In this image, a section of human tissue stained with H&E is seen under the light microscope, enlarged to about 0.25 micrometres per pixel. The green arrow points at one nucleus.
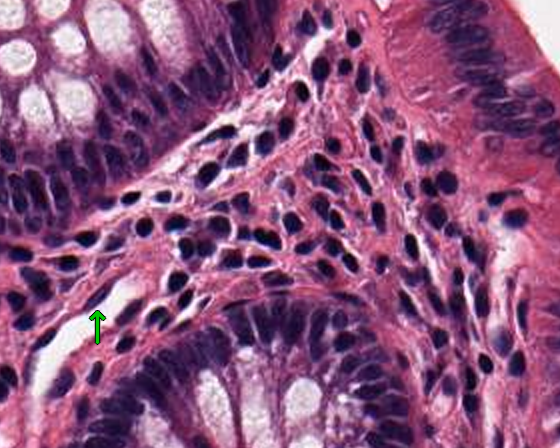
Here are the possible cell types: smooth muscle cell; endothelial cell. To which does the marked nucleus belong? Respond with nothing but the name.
endothelial cell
